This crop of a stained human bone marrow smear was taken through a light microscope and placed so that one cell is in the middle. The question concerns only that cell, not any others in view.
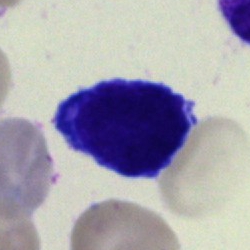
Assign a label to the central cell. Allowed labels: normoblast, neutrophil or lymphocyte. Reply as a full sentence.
The cell found in the middle of this crop is a lymphocyte.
